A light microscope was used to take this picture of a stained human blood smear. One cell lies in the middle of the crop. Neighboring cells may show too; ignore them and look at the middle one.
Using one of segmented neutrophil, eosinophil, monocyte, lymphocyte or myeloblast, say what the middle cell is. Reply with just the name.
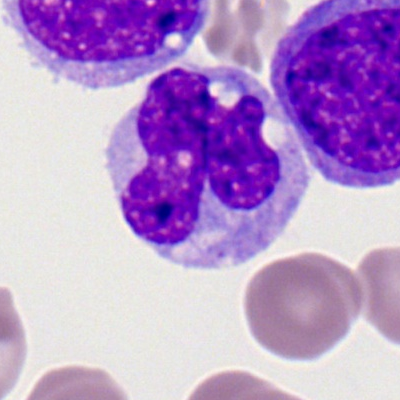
monocyte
